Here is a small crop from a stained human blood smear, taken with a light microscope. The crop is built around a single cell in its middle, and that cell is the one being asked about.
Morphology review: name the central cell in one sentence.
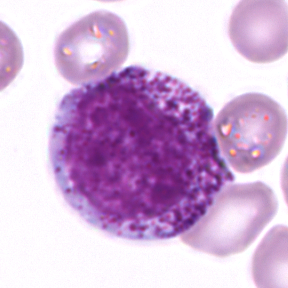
Framed in the middle of the crop is a myelocyte.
